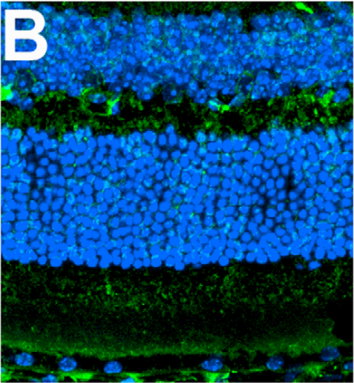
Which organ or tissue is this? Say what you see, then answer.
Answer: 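Retina. Stacked layers of densely packed round blue nuclei. A single row of widely spaced nuclei at the bottom edge.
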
